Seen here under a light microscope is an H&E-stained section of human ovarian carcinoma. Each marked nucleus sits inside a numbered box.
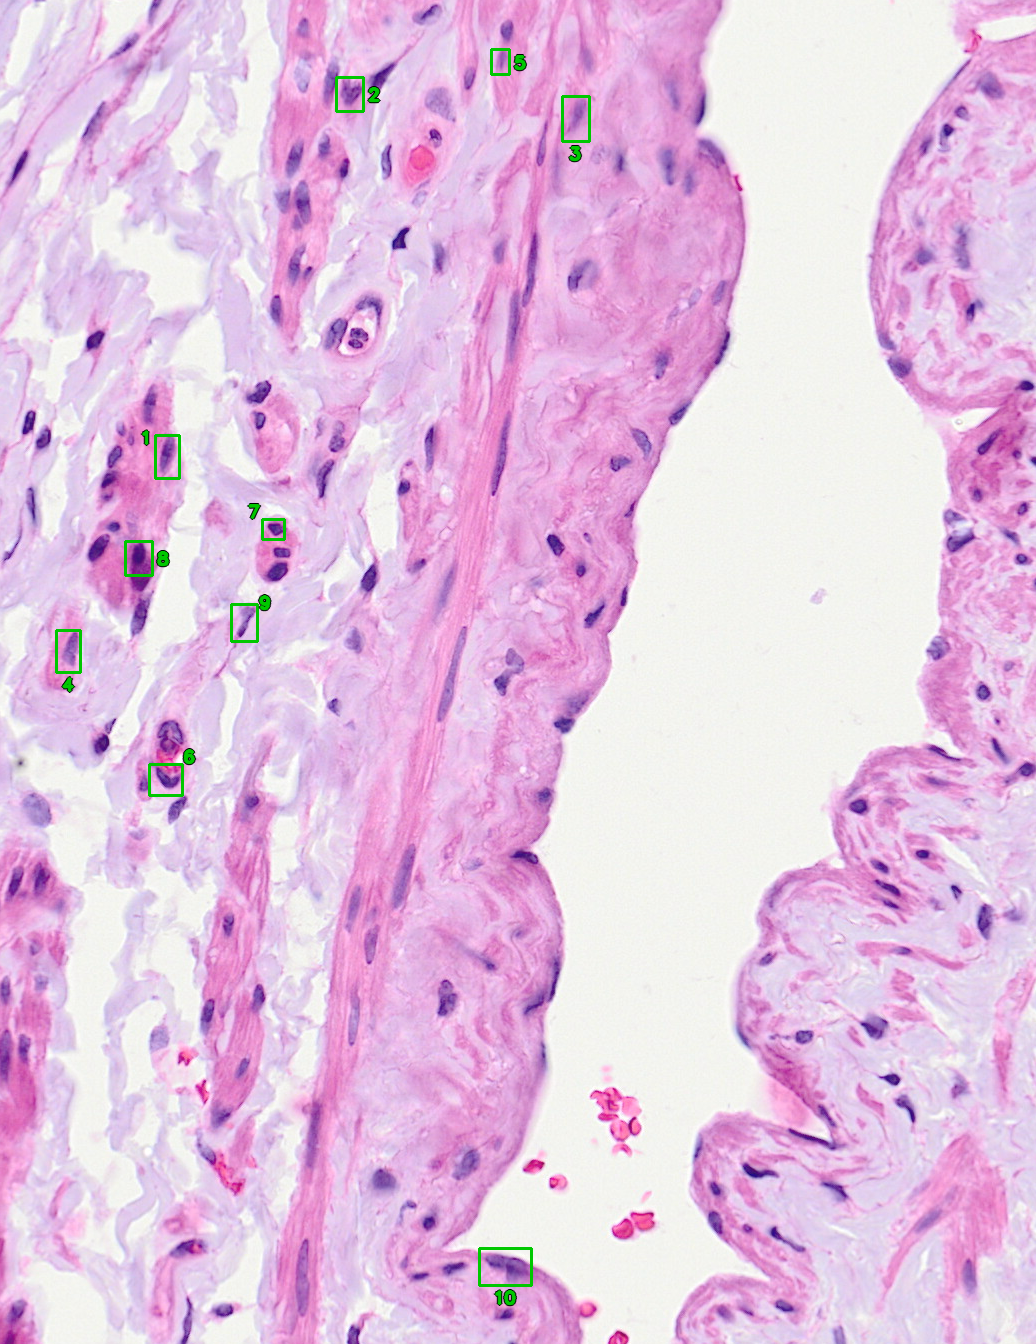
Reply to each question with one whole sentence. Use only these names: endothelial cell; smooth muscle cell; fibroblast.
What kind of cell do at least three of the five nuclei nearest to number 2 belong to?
Smooth muscle cells account for more than half of the five nuclei nearest to number 2.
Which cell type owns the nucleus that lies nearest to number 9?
The cell nearest to number 9 is a smooth muscle cell.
